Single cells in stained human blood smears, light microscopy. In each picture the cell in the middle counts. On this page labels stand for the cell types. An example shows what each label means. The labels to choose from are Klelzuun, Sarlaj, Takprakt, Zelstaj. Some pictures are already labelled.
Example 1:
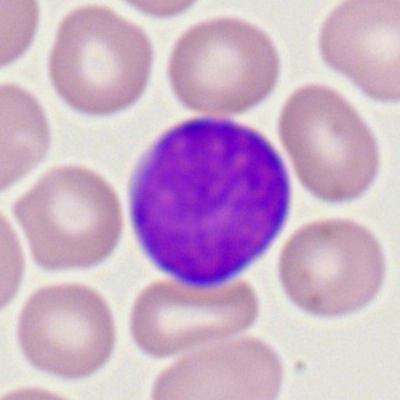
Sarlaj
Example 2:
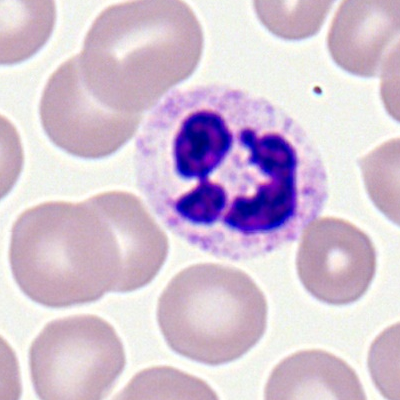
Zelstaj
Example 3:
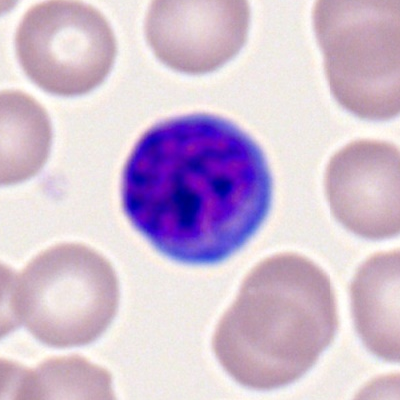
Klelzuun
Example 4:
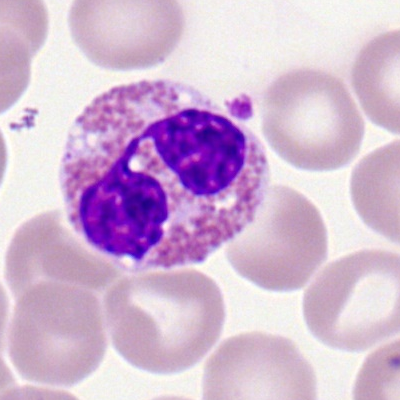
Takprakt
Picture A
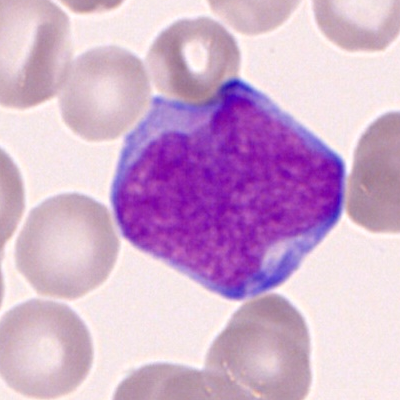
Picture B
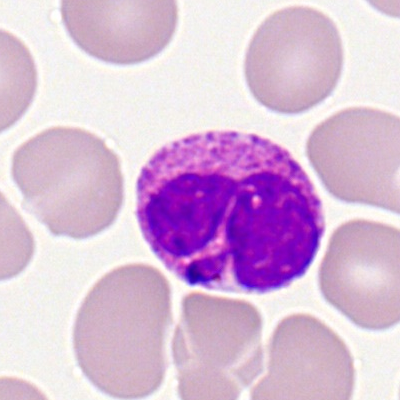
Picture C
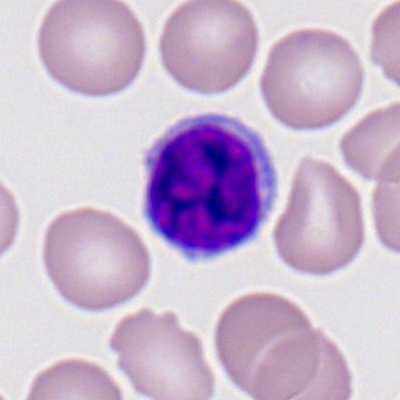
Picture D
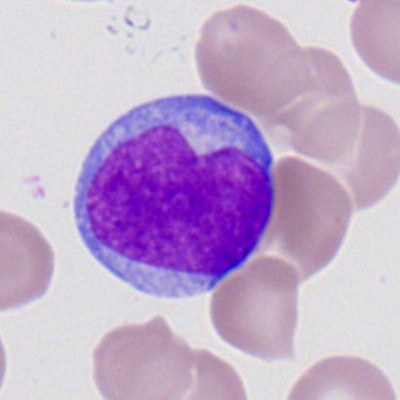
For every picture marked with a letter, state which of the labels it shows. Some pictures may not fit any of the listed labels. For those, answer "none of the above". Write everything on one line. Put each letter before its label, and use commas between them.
A Sarlaj, B Takprakt, C Klelzuun, D Sarlaj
